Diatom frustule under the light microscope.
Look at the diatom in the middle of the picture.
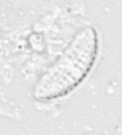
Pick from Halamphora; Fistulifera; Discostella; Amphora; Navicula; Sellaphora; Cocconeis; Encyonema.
Amphora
